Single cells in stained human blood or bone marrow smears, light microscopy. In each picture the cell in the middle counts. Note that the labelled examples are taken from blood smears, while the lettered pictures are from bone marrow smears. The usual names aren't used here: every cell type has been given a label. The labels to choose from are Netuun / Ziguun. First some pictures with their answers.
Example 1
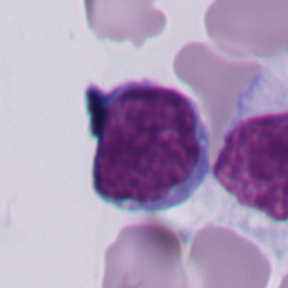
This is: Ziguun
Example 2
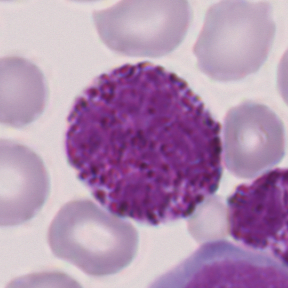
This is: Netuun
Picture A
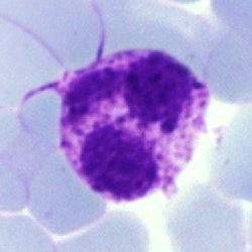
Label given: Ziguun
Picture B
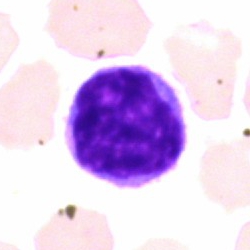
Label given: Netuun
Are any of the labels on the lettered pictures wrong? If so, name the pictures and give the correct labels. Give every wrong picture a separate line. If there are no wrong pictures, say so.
A is labelled Ziguun; correct label: Netuun
B is labelled Netuun; correct label: Ziguun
